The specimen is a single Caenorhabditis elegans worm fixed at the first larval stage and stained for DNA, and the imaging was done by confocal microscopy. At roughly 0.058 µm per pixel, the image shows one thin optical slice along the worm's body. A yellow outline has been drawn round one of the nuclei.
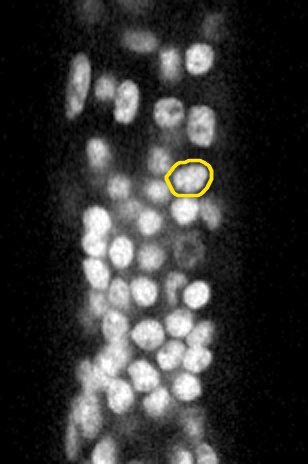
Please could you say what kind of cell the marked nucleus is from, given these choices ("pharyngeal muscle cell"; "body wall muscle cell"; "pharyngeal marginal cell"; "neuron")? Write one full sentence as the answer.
The marked nucleus is that of a neuron.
